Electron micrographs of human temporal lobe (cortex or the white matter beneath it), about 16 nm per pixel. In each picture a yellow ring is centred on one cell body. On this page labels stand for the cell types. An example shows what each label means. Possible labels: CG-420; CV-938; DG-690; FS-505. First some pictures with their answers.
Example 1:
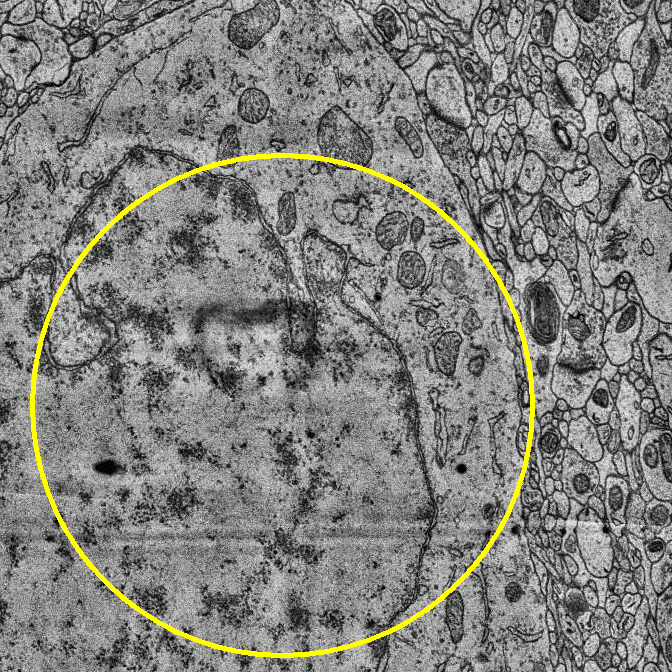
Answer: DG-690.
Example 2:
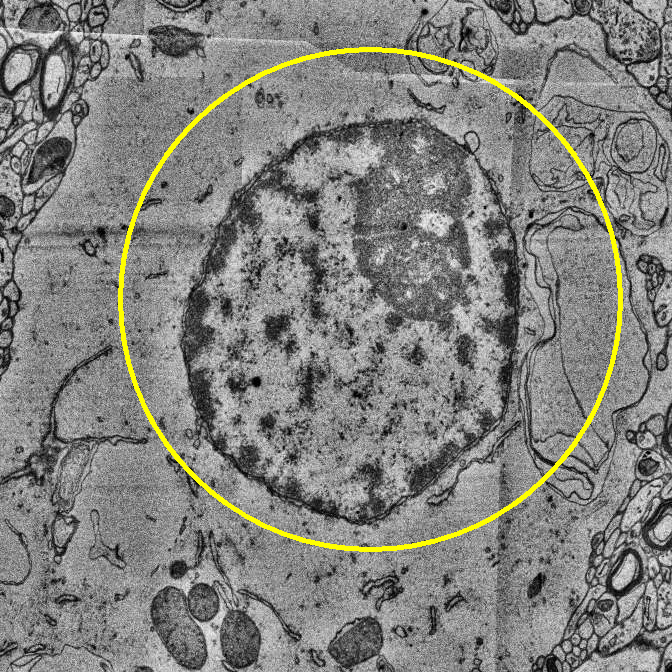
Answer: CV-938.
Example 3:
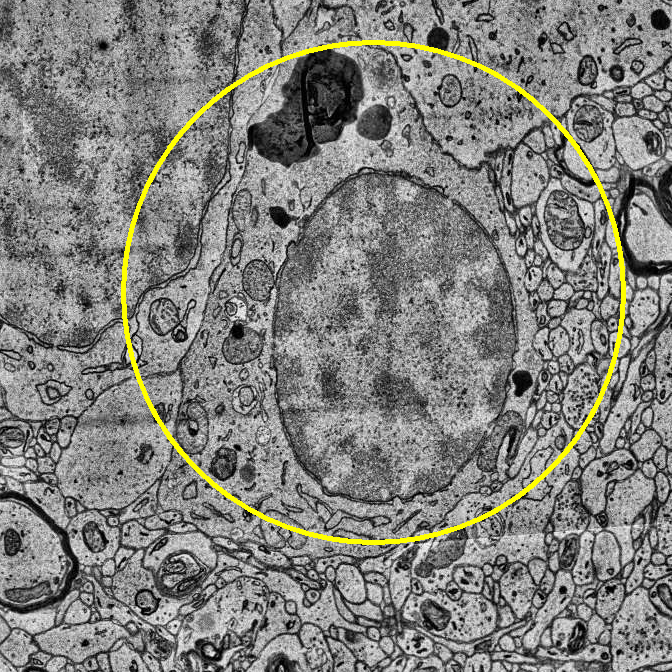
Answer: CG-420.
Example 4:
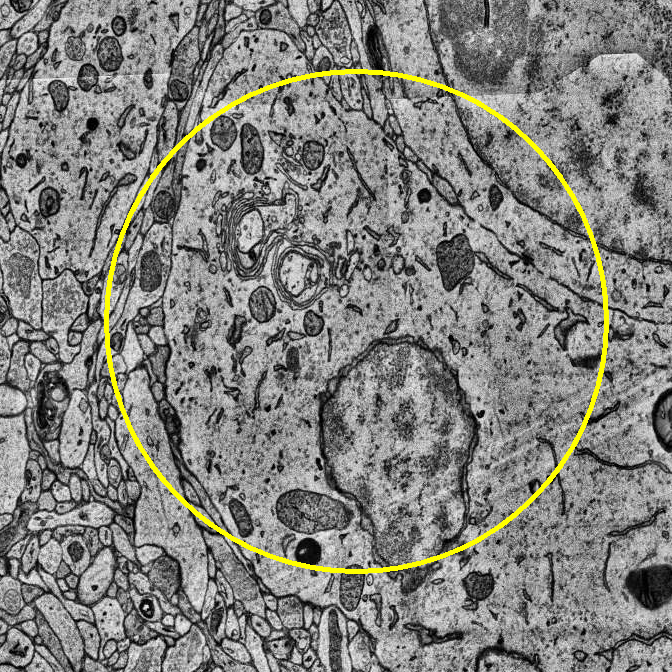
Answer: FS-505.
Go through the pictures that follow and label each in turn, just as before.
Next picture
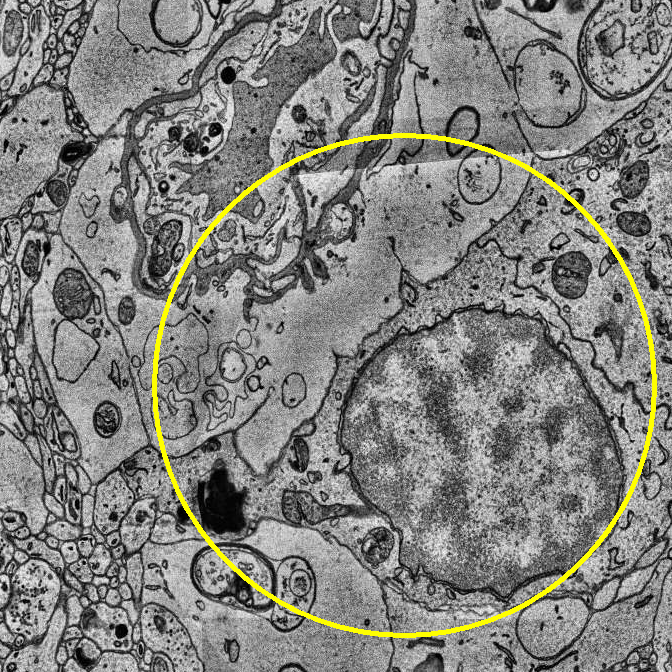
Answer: CG-420.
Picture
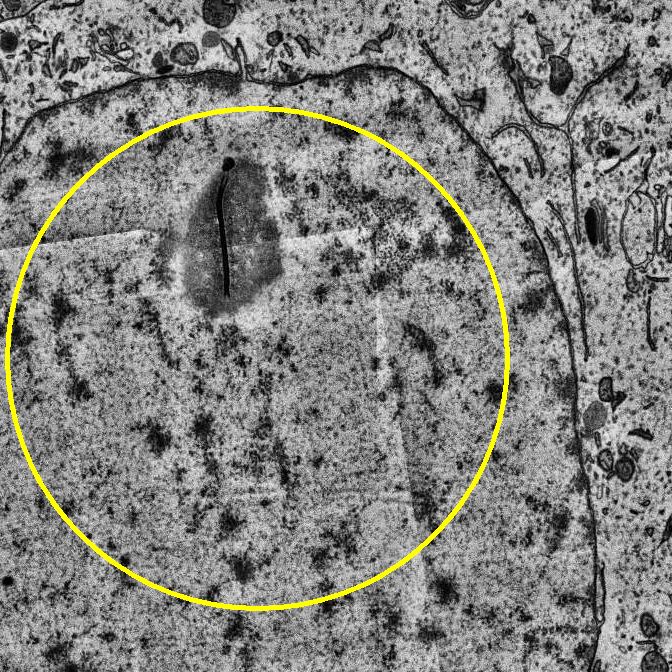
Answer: FS-505.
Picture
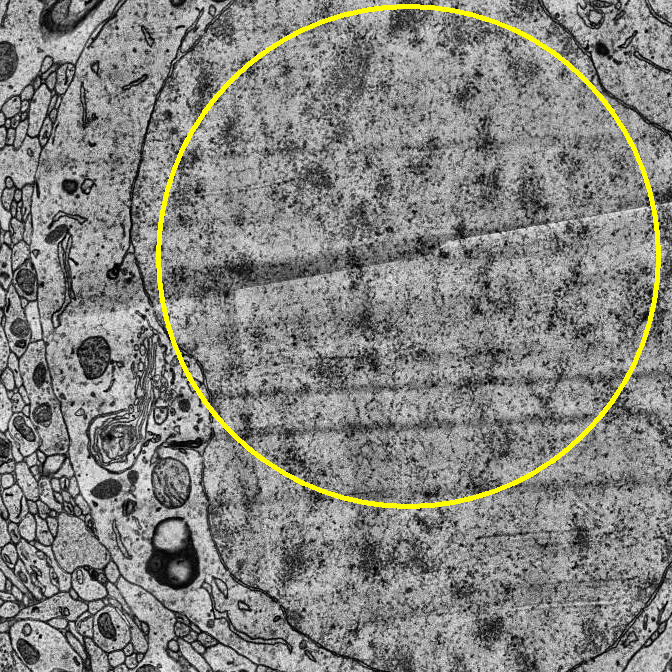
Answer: FS-505.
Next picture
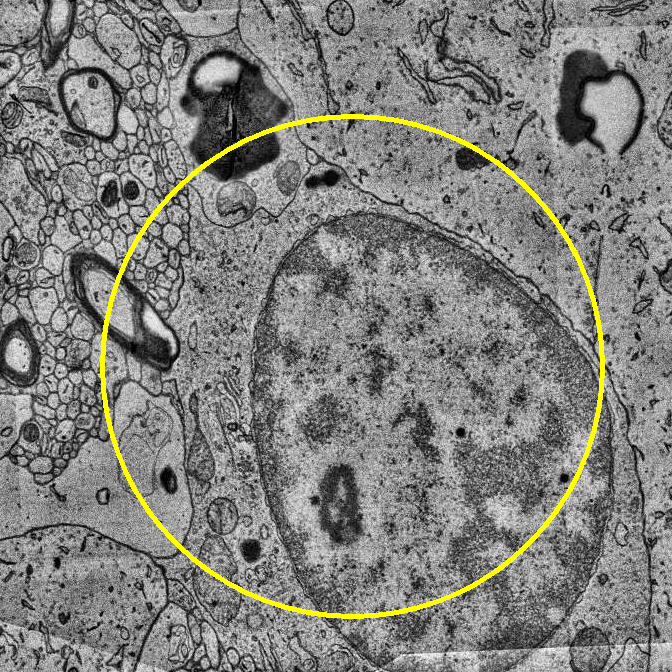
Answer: CG-420.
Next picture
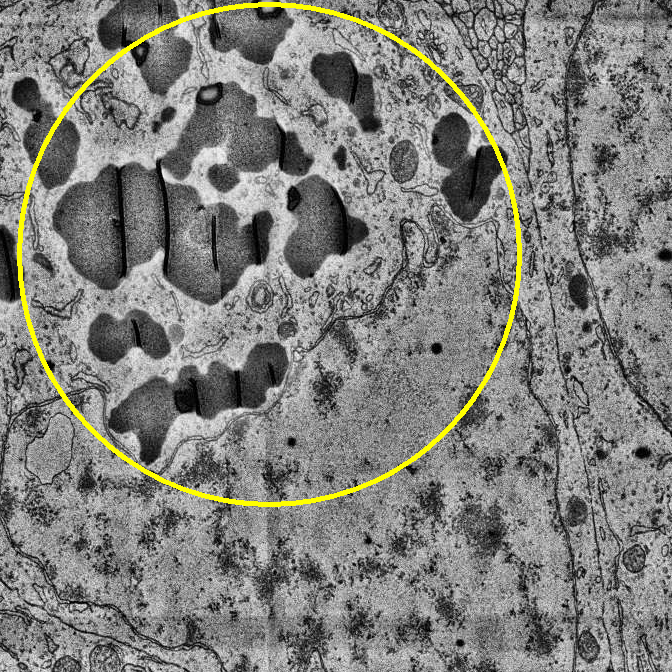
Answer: DG-690.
